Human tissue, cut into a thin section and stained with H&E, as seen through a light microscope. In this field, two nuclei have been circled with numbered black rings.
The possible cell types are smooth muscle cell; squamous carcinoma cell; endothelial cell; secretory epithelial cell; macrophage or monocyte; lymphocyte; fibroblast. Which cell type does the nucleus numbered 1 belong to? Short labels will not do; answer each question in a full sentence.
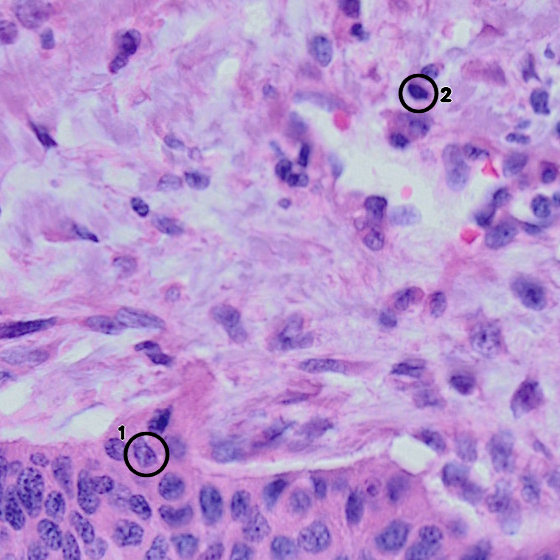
The mark numbered 1 indicates the nucleus of a squamous carcinoma cell.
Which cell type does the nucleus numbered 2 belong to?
Identified as a lymphocyte is the cell bearing the number 2.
